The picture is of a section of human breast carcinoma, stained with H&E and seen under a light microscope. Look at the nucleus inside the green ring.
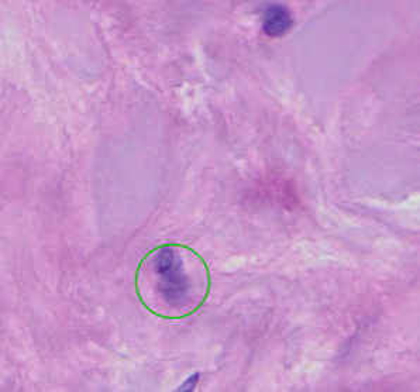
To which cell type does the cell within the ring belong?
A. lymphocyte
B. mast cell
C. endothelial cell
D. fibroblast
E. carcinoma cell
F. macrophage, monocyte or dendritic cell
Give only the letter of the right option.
D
